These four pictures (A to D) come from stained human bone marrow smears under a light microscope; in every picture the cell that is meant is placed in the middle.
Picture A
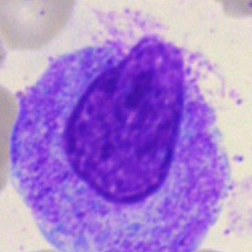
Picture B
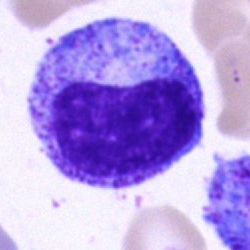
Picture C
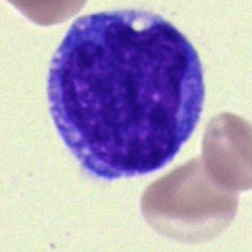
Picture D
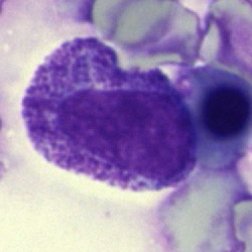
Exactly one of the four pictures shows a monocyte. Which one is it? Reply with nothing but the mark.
C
